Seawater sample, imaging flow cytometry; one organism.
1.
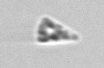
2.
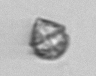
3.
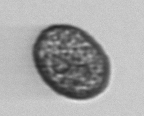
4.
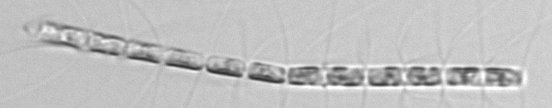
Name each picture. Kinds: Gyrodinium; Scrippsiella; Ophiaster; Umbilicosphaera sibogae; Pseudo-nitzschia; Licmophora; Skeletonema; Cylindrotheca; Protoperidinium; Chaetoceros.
Picture 1: Licmophora
Picture 2: Scrippsiella
Picture 3: Umbilicosphaera sibogae
Picture 4: Chaetoceros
